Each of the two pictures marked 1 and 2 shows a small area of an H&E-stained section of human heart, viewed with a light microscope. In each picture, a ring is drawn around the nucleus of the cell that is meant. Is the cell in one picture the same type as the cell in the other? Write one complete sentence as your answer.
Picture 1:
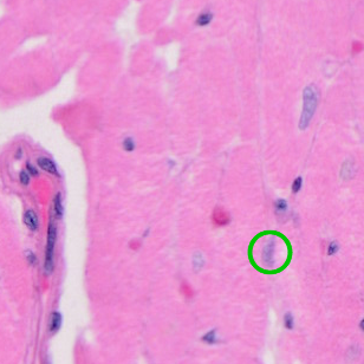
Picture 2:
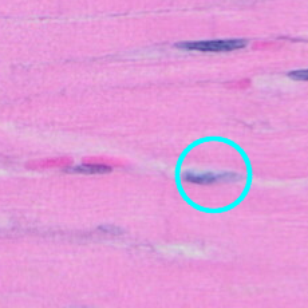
Yes, the two pictures both show fibroblasts.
